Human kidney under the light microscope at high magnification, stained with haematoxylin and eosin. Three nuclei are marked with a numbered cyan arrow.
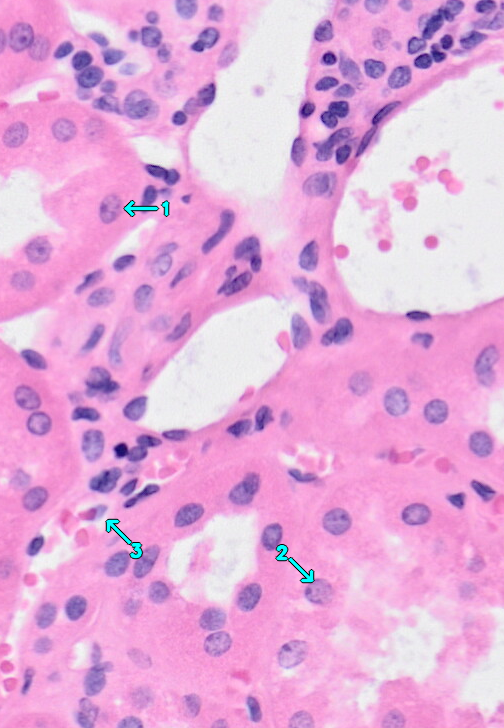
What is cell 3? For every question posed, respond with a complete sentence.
The marked nucleus 3 is that of an endothelial cell.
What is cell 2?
The cell referenced by the number 2 is a proximal tubule cell in this field.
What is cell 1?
The cell indicated with the number 1 is classed as a proximal tubule cell.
